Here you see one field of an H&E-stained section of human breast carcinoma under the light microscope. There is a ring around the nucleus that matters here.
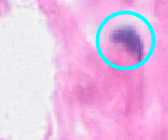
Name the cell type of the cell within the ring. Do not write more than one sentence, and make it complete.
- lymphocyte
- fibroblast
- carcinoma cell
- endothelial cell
The expected answer is simply that the cell within the ring is a fibroblast.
